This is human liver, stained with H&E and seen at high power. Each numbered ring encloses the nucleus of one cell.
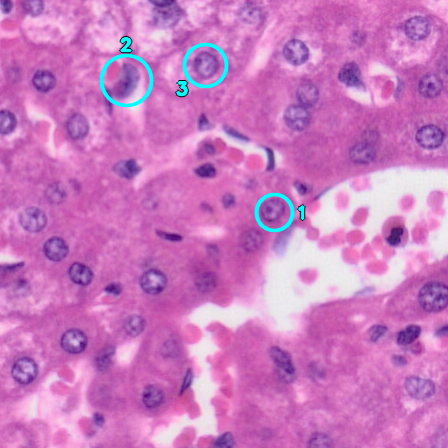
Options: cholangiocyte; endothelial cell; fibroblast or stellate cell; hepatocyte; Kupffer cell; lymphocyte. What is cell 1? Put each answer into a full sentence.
The cell that is numbered 1 is a hepatocyte.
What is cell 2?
Classified as an endothelial cell is the cell with the number 2.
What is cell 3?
As for number 3, that cell is a hepatocyte.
